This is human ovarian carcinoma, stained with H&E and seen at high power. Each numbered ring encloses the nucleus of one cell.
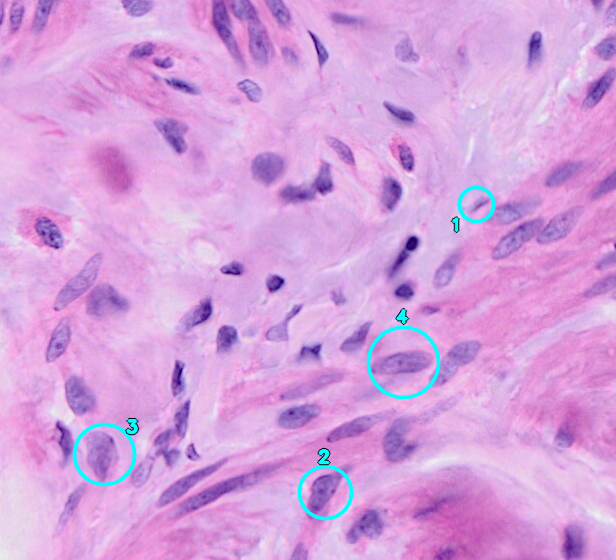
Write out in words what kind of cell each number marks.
Cell 1 is a fibroblast, cell 2 is a smooth muscle cell, cell 3 is a fibroblast and cell 4 is a smooth muscle cell.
